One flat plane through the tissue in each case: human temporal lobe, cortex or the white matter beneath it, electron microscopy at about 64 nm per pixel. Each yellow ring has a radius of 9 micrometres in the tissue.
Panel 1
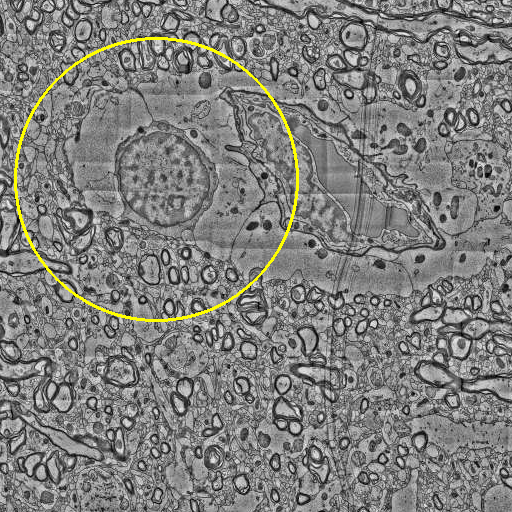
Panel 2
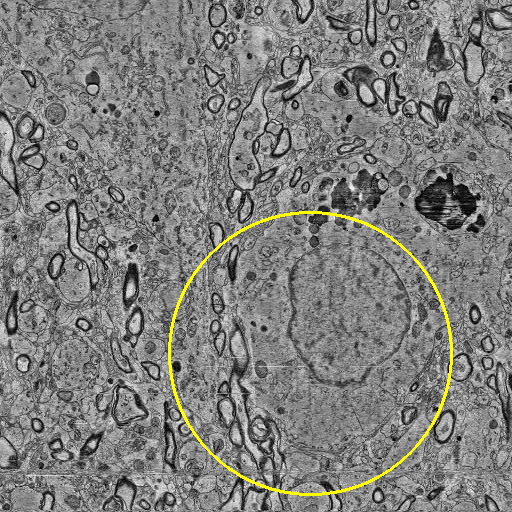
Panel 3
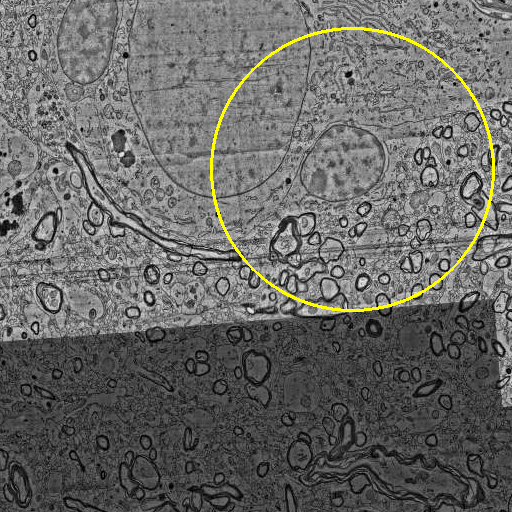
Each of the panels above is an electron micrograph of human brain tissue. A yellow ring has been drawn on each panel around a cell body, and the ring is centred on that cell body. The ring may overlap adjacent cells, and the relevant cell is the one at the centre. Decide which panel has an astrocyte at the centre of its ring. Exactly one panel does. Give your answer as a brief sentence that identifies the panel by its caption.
Panel 2 is the one with it at the centre of the ring.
